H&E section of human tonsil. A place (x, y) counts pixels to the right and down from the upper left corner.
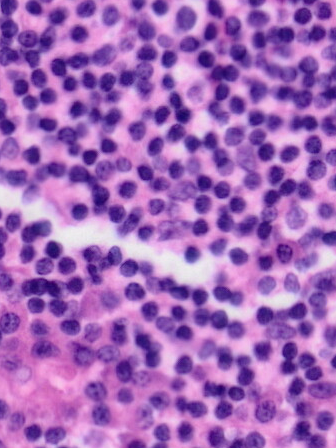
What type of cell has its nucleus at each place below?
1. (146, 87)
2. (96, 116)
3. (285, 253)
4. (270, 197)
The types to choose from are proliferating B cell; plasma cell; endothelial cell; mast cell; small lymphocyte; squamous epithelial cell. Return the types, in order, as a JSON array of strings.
["small lymphocyte", "small lymphocyte", "plasma cell", "small lymphocyte"]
